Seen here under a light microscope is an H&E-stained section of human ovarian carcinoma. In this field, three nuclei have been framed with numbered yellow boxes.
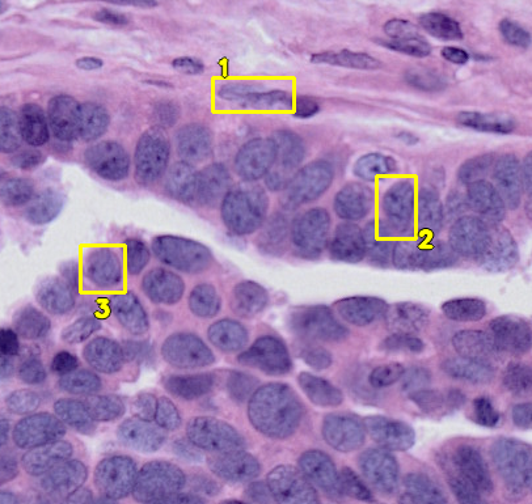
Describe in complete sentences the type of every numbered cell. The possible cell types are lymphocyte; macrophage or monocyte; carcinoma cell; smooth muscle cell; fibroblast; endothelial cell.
Cell 1 is a fibroblast, cell 2 is a carcinoma cell and cell 3 is a carcinoma cell.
